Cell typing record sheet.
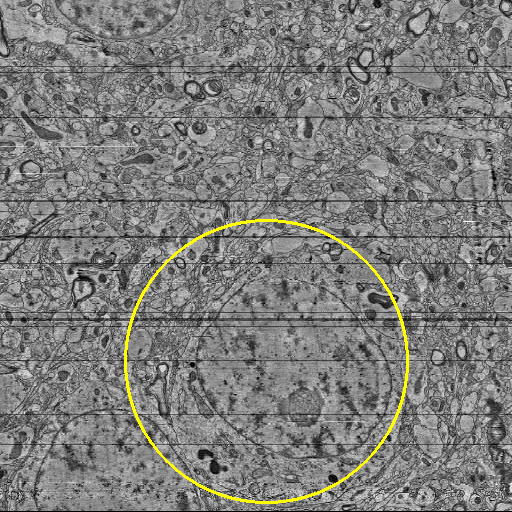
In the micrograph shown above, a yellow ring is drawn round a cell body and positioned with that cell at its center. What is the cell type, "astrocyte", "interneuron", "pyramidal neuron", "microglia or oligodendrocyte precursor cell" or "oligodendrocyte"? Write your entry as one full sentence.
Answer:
The cell body at the center of the ring belongs to a pyramidal neuron.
